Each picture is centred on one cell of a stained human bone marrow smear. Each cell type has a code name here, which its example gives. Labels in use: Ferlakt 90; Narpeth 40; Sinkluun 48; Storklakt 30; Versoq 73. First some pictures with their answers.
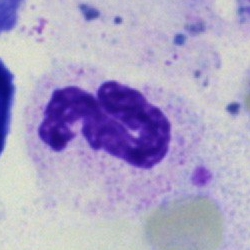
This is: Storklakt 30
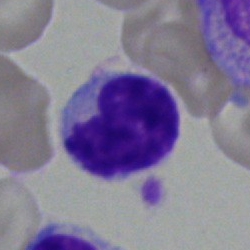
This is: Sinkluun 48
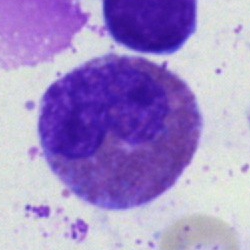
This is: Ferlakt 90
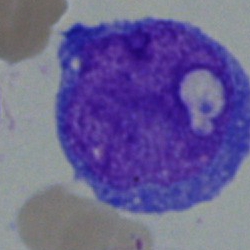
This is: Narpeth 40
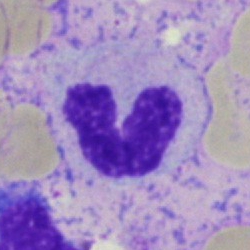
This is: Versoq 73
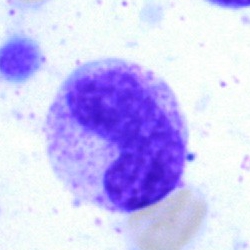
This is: Versoq 73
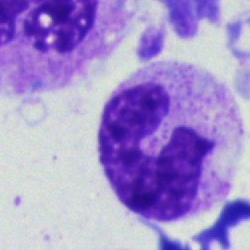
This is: Versoq 73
